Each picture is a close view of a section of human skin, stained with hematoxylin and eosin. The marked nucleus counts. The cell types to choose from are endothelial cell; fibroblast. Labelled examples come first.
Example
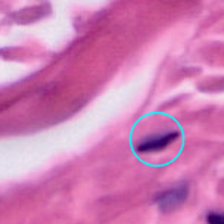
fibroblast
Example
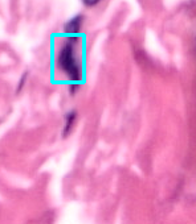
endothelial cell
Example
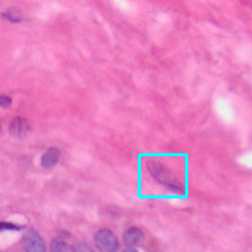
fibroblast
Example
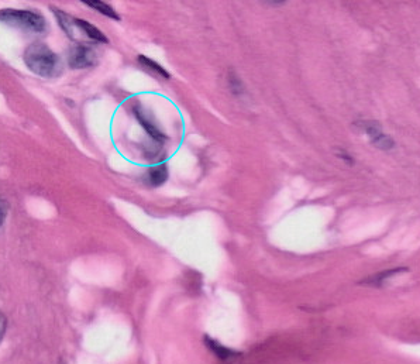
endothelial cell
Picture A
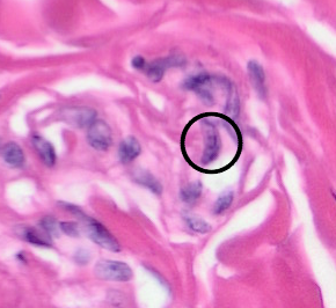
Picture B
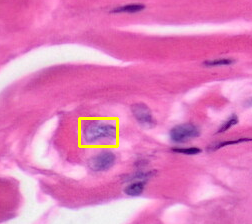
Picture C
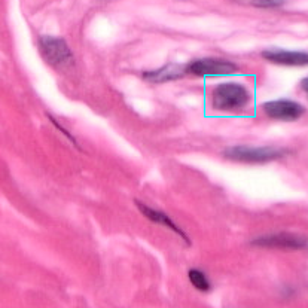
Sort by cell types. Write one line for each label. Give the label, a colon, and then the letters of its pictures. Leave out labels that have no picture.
endothelial cell: A, B, C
